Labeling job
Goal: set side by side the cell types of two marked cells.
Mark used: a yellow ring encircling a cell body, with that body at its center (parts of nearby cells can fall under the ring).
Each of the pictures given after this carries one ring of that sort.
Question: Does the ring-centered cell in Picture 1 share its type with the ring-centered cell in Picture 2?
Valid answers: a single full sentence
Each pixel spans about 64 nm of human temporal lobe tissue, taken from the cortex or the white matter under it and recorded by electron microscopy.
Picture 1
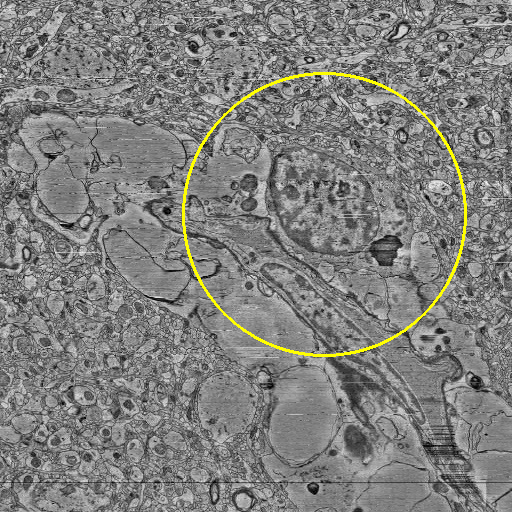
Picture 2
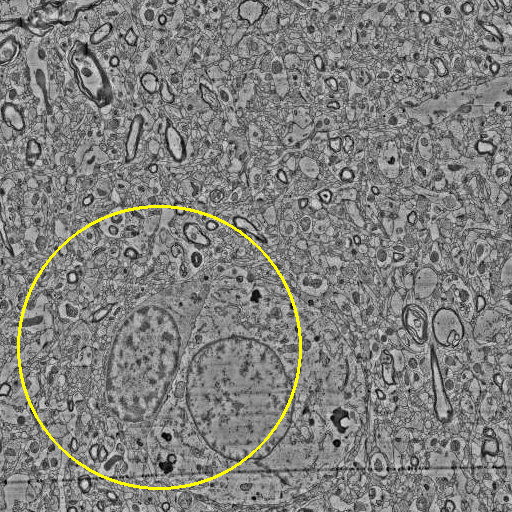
Yes, in Pictures 1 and 2 the cells at the ring centers share one type.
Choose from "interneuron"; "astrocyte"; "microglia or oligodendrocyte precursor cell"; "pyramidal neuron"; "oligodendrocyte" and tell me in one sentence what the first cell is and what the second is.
In each picture the ringed cell is an oligodendrocyte.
